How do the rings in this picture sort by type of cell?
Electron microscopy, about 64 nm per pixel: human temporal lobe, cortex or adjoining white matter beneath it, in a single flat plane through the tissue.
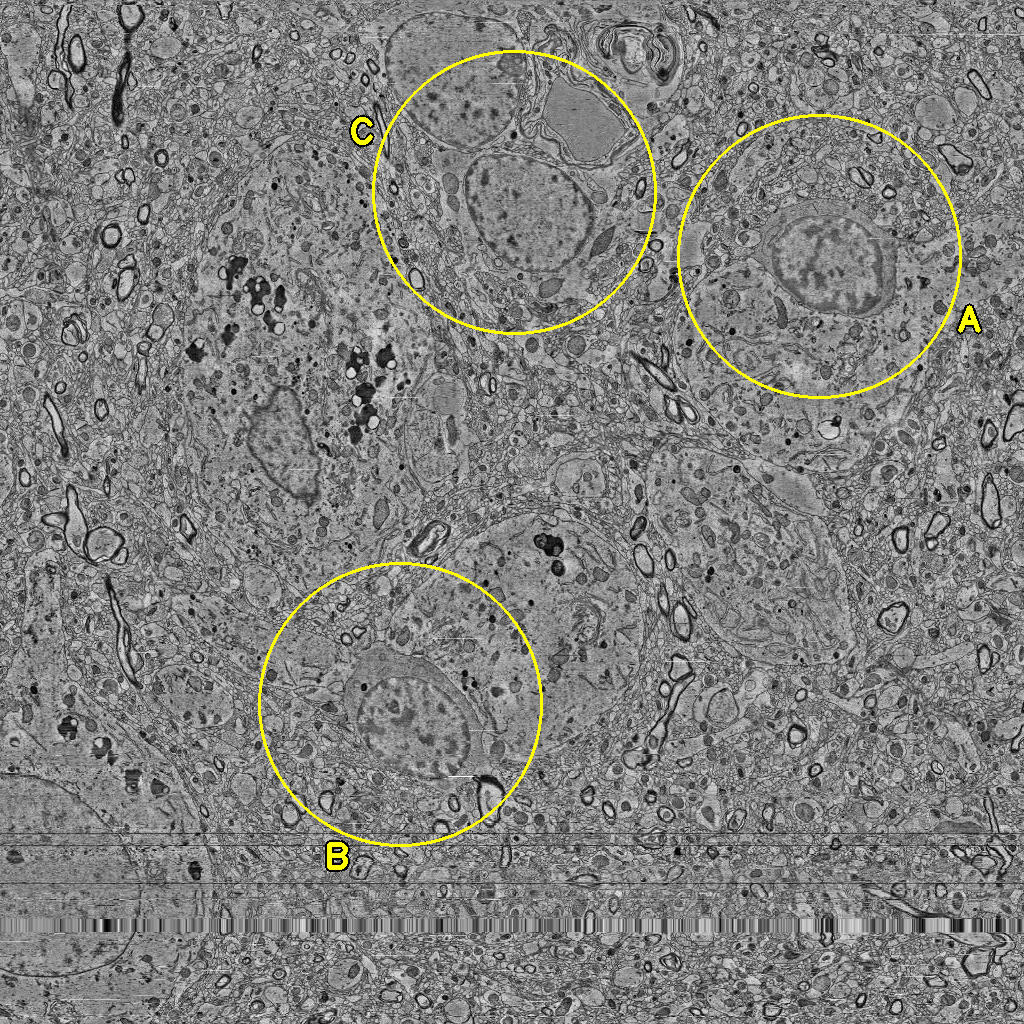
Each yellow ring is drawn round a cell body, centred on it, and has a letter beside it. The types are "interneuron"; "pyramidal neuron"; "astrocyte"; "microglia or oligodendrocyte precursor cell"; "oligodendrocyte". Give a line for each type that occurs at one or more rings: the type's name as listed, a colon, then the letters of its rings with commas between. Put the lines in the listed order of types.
microglia or oligodendrocyte precursor cell: C
oligodendrocyte: A, B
